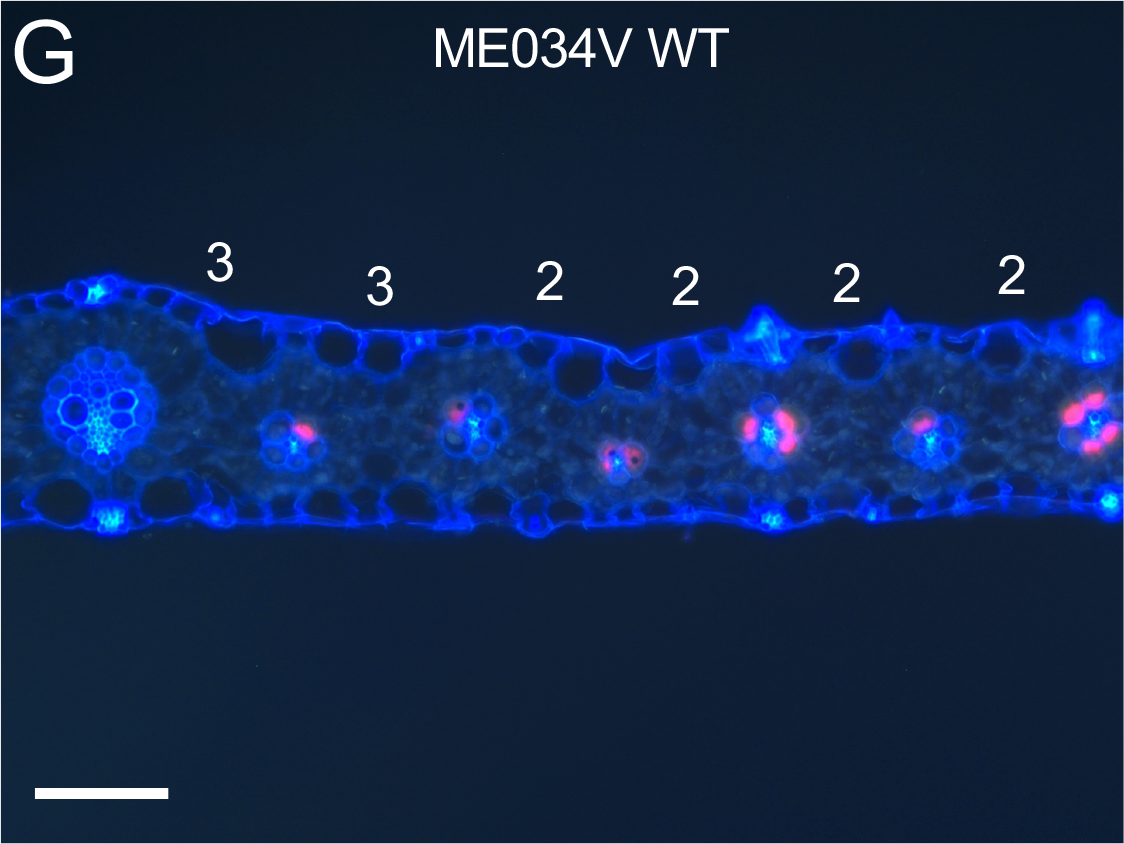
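A leaf cross-section glowing blue, bounded above and below by a single layer of epidermal cells. Round veins of different sizes, each ringed by a layer of cells, lie in a row through the middle, one large vein at the left, with some red spots inside the smaller ones.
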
